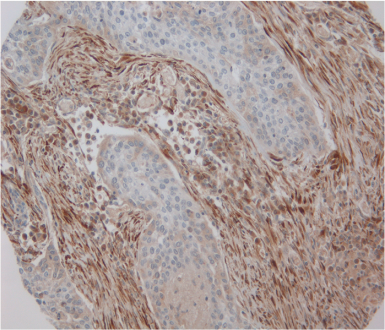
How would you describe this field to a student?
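Here we look at a tumour core in which nests of rounded epithelial cells are separated by broad bands of stroma. The stromal bands are packed with long, spindle-shaped, fibroblast-like cells running in parallel streams, and these are strongly stained dark brown, with their elongated nuclei squeezed between the stained cytoplasm. The epithelial nests beside them stay pale, showing only blue-grey oval nuclei and light cytoplasm. Notice how sharply the brown stroma outlines the unstained nests, so that the arrangement of tumour islands within the fibrous tissue is easy to follow.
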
